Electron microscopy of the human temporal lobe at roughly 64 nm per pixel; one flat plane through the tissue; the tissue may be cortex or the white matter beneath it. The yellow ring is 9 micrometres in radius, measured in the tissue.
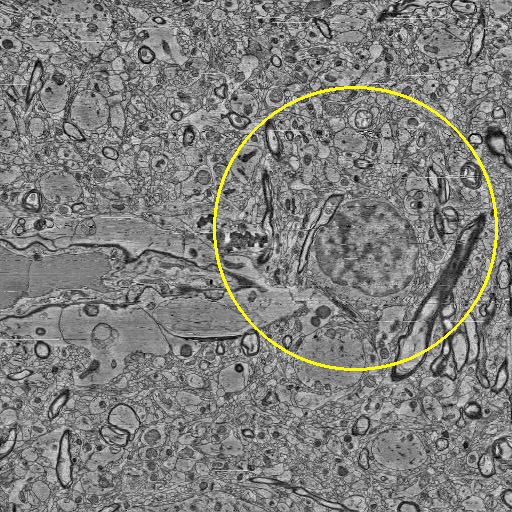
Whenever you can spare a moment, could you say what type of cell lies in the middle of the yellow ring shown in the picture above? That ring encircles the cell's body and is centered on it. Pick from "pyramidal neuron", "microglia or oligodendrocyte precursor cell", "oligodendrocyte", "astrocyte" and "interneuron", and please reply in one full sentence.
The cell whose body sits at the middle of the yellow ring is an oligodendrocyte.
